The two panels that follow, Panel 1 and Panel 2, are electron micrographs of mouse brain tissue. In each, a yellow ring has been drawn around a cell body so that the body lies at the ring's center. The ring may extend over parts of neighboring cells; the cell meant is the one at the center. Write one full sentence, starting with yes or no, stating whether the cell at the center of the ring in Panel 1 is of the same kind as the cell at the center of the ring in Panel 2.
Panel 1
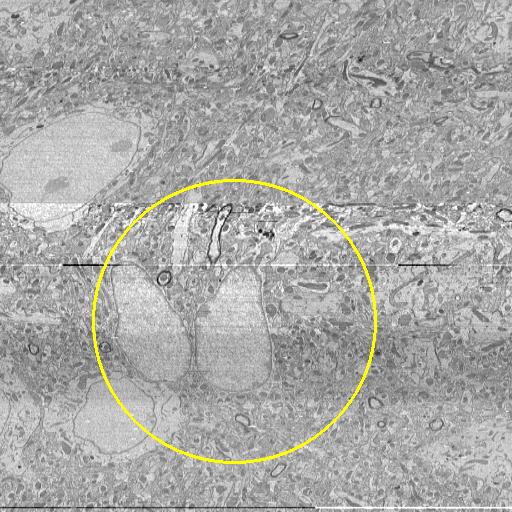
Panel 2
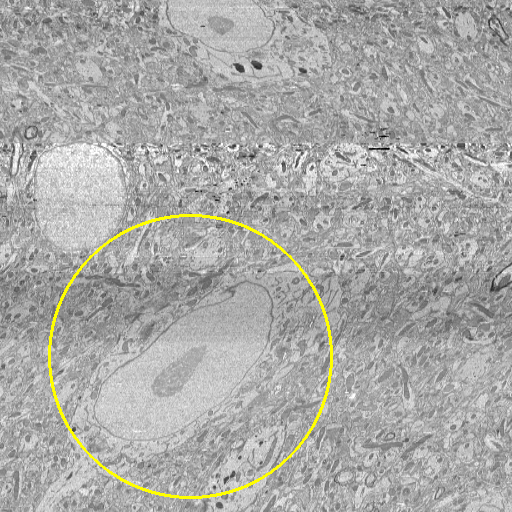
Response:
No, the cells in the two panels are of two kinds.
